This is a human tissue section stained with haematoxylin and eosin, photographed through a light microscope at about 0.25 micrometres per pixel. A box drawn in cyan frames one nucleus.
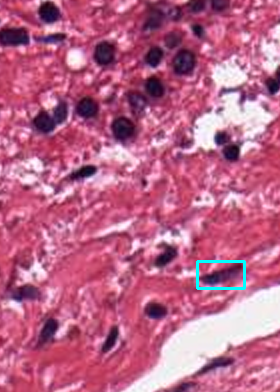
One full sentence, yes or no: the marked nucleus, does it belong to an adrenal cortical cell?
No, the nucleus that is marked belongs to a supporting cell rather than to an adrenal cortical cell.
